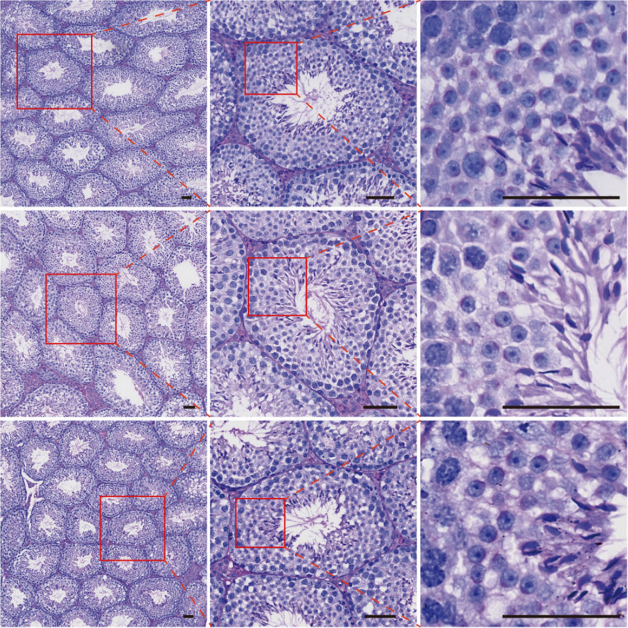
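At low power, round tubules lie packed together with thin strips of interstitial tissue between them. Each tubule is lined by a thick, many-layered germinal epithelium surrounding a central lumen. At higher power the layers resolve: rounder cells with large nuclei sit toward the outer wall, many small round cells with pale cytoplasm fill the middle layers, and slender, darkly stained elongated heads of maturing sperm cells cluster toward the lumen, with their tails projecting into it. The arrangement is orderly in every section shown.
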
